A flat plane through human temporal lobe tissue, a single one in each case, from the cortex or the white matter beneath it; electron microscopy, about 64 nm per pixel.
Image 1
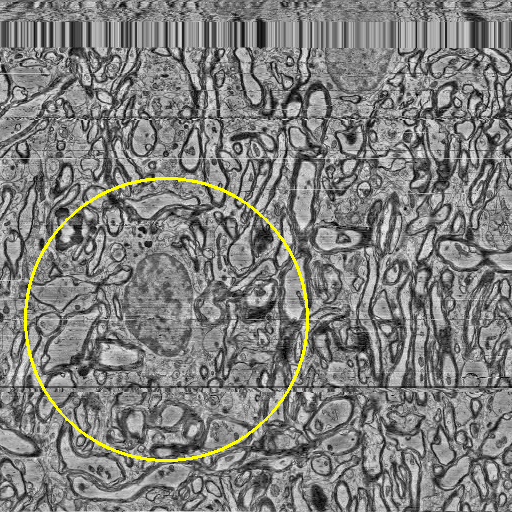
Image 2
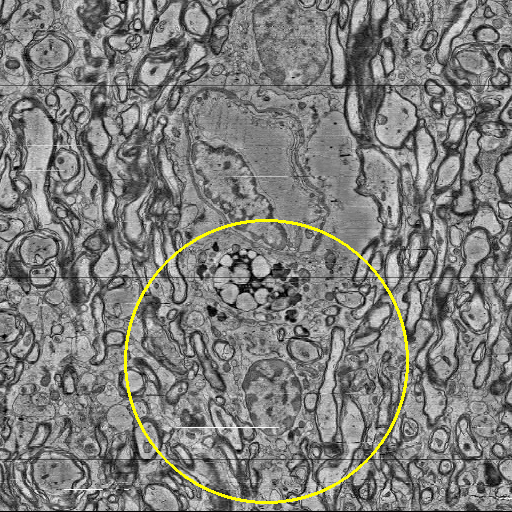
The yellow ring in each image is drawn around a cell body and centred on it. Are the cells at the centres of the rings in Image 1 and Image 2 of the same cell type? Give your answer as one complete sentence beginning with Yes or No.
Yes, both cells are of the same type.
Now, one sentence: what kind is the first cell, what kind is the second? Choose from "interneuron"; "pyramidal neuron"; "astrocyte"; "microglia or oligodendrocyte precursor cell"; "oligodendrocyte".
Both rings mark a microglial cell or oligodendrocyte precursor cell, one in each picture.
